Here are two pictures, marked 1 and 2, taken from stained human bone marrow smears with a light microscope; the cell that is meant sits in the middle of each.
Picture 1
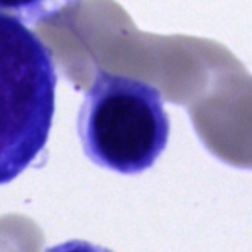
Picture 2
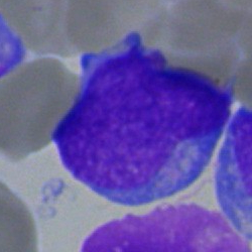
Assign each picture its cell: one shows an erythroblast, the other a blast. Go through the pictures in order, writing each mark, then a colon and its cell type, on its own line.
1: erythroblast
2: blast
